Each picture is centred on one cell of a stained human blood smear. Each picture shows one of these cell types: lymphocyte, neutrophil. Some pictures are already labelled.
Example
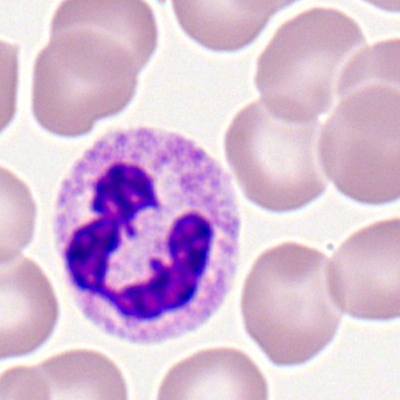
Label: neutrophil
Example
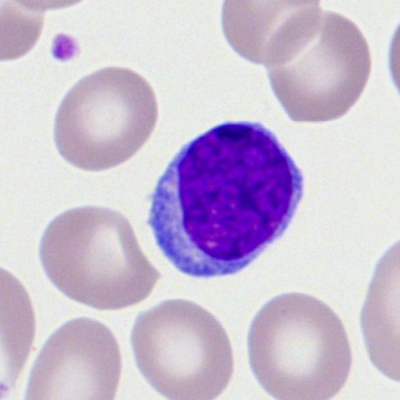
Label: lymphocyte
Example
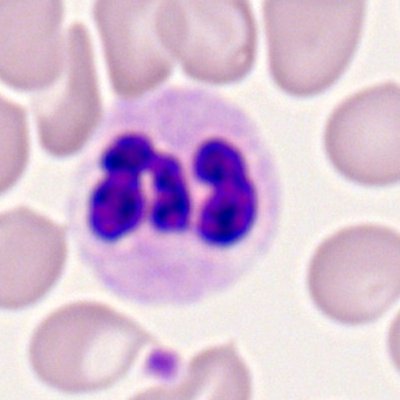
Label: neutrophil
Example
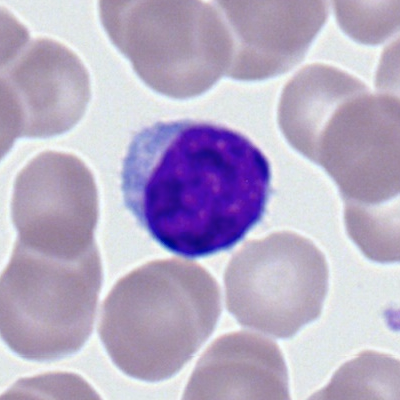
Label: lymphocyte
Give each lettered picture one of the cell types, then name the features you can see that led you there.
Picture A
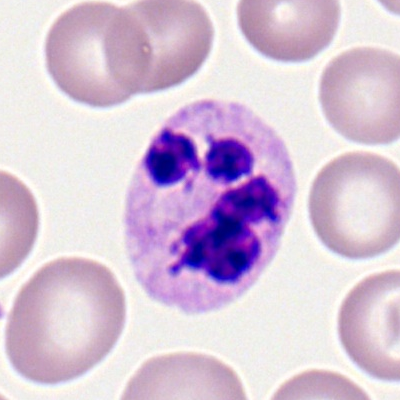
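neutrophil: Abundant pale pinkish-lilac cytoplasm surrounds the lobes.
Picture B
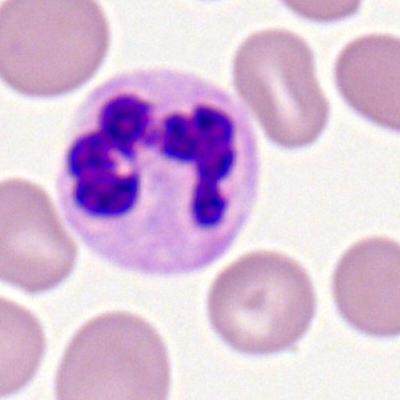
neutrophil: The nucleus is split into more than two separate lobes linked by thin strands.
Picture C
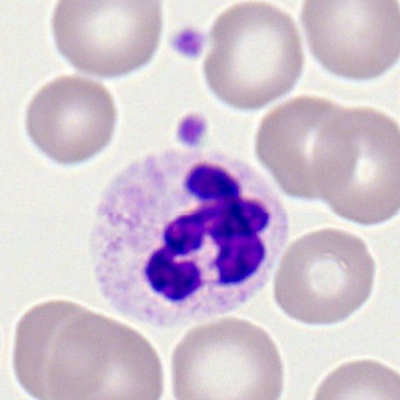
neutrophil: The cytoplasm is plentiful and pale pinkish-lilac.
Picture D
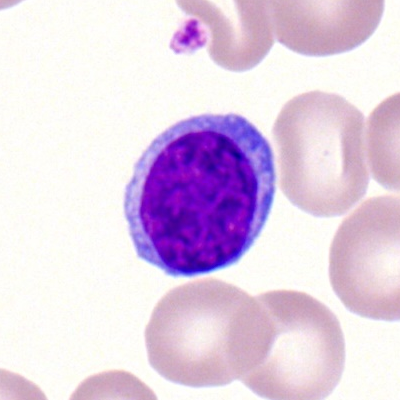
lymphocyte: The nucleus fills most of the cell.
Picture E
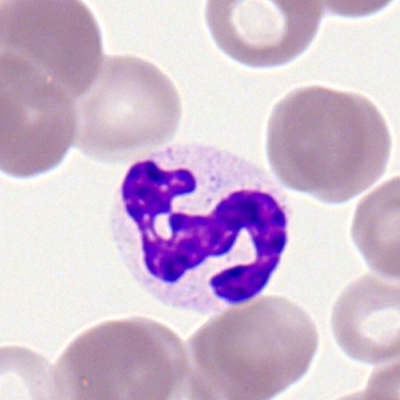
neutrophil: The cytoplasm is plentiful and pale pinkish-lilac.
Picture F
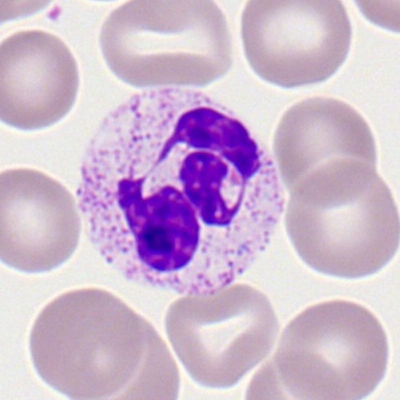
neutrophil: The nucleus is divided into several lobes.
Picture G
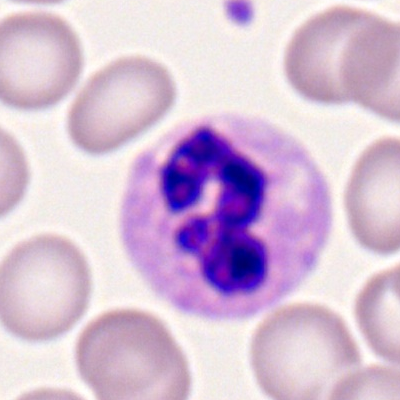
neutrophil: The nucleus is divided into several lobes.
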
